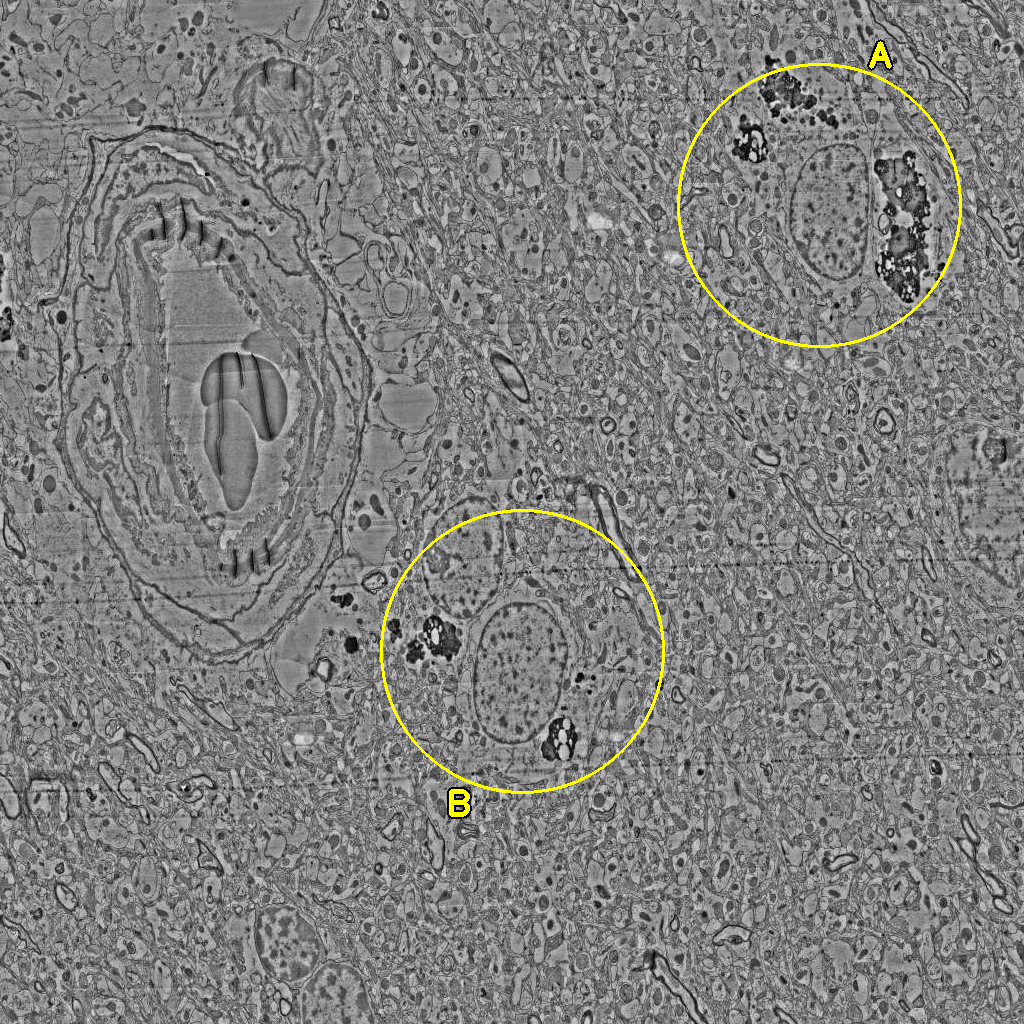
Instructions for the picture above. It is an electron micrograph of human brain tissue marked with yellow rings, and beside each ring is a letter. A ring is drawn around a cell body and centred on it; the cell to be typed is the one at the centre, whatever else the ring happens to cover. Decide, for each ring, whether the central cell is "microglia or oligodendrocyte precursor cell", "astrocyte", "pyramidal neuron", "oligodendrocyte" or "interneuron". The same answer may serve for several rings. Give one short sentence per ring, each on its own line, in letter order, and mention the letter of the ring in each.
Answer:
Ring A is drawn around an astrocyte.
Ring B is drawn around an astrocyte.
